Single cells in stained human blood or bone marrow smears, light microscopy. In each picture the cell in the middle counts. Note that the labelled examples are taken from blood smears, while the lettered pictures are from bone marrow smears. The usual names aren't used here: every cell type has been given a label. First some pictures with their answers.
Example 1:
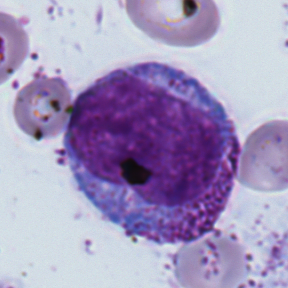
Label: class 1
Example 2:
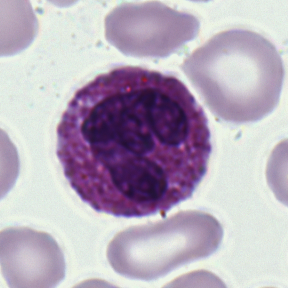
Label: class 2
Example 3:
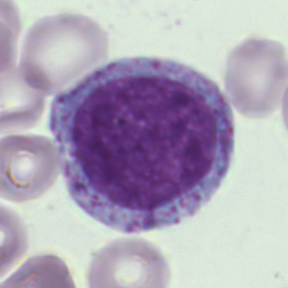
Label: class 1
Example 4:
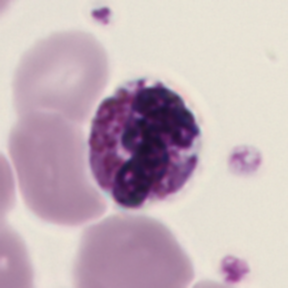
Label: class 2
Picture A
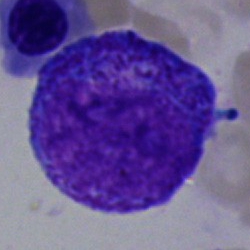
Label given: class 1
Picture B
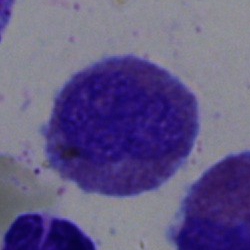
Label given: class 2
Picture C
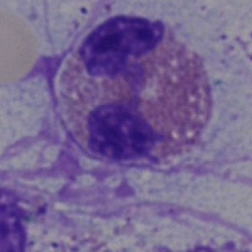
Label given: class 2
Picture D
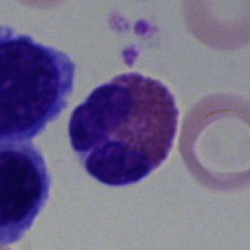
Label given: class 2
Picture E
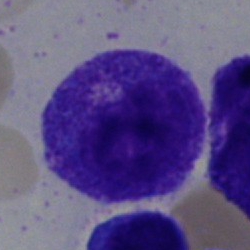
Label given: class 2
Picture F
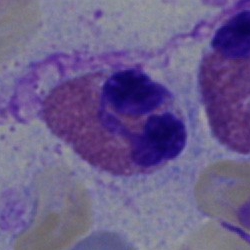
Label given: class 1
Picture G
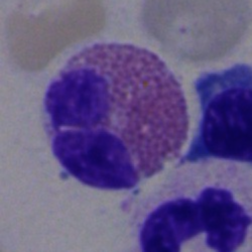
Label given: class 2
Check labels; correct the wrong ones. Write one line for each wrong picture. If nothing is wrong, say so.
Wrong: E (class 2); correct: class 1
Wrong: F (class 1); correct: class 2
